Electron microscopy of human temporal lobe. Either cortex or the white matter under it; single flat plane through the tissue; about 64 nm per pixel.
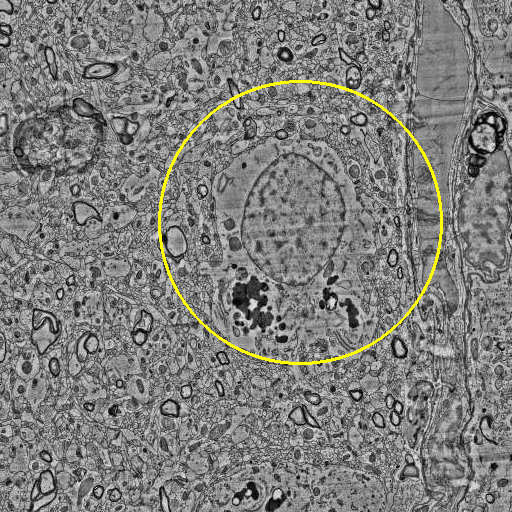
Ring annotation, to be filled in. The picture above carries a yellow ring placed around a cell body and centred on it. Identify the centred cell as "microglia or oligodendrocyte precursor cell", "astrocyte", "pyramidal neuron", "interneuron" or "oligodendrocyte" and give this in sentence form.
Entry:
The cell in the middle of the ring is an astrocyte.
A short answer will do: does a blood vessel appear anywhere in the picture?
Yes, there is a blood vessel.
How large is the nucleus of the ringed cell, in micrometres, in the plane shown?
In this plane, approximately 8 by 7 micrometers.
